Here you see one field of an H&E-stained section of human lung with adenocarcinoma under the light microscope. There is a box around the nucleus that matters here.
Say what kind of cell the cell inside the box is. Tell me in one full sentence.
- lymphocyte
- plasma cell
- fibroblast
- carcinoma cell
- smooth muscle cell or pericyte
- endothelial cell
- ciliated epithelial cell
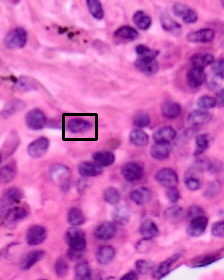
By its classification, the cell inside the box is a plasma cell.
